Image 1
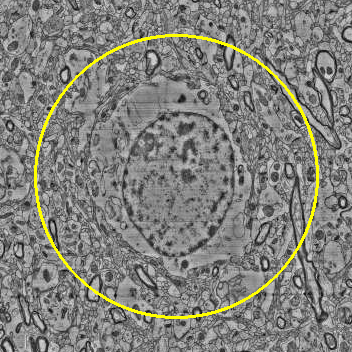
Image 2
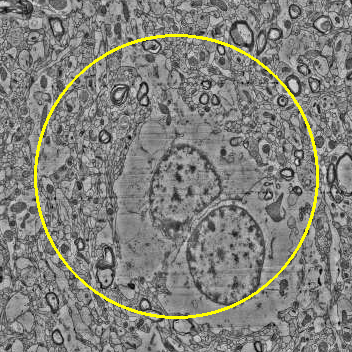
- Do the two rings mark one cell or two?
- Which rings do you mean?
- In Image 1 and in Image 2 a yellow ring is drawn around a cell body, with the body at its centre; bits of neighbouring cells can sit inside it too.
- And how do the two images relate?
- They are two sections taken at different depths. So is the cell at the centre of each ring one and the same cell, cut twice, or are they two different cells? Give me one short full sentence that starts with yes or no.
No, the rings identify two cells, not one shared cell.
